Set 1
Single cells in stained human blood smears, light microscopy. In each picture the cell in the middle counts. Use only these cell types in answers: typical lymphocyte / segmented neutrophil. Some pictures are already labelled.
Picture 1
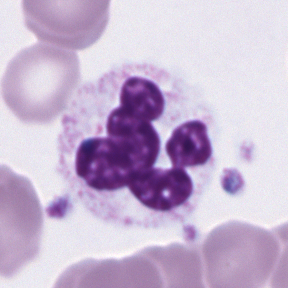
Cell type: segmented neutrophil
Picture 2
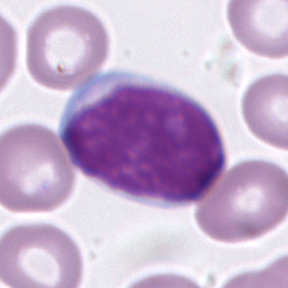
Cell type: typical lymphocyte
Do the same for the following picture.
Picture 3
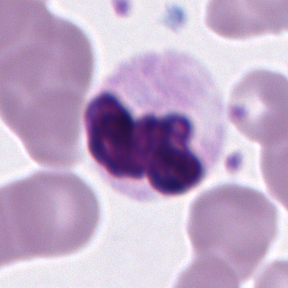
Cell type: segmented neutrophil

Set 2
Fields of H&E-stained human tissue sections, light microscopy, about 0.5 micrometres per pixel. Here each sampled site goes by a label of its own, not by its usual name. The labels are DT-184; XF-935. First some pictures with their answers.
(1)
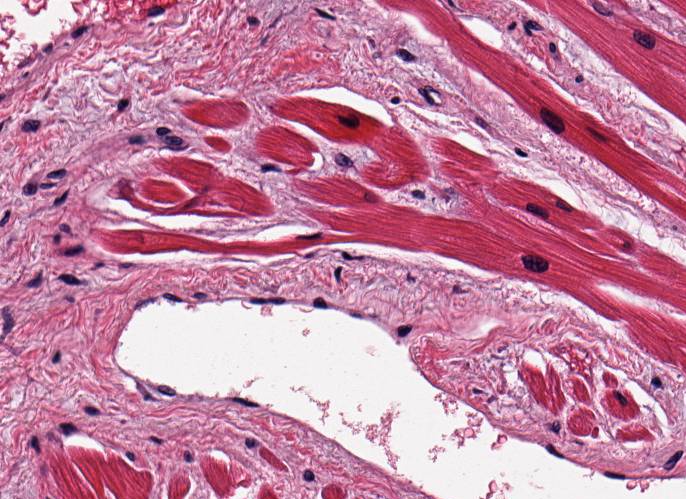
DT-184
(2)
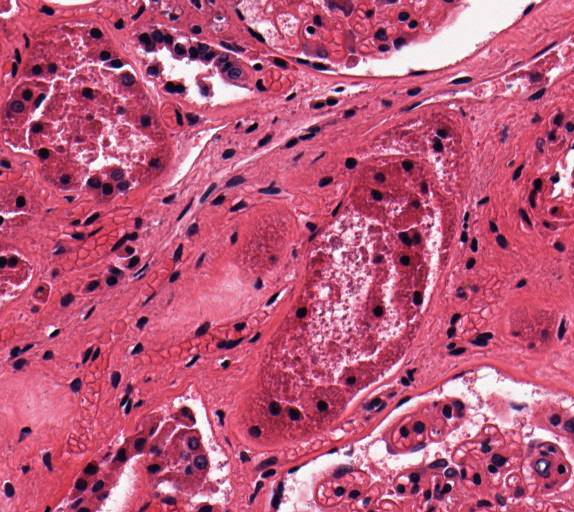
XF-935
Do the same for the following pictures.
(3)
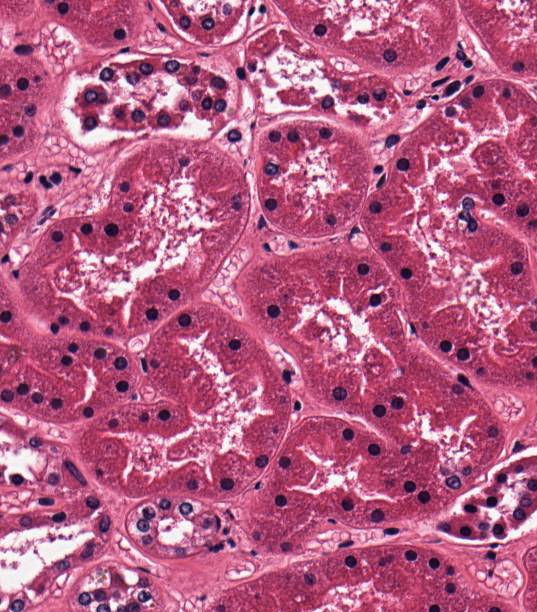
XF-935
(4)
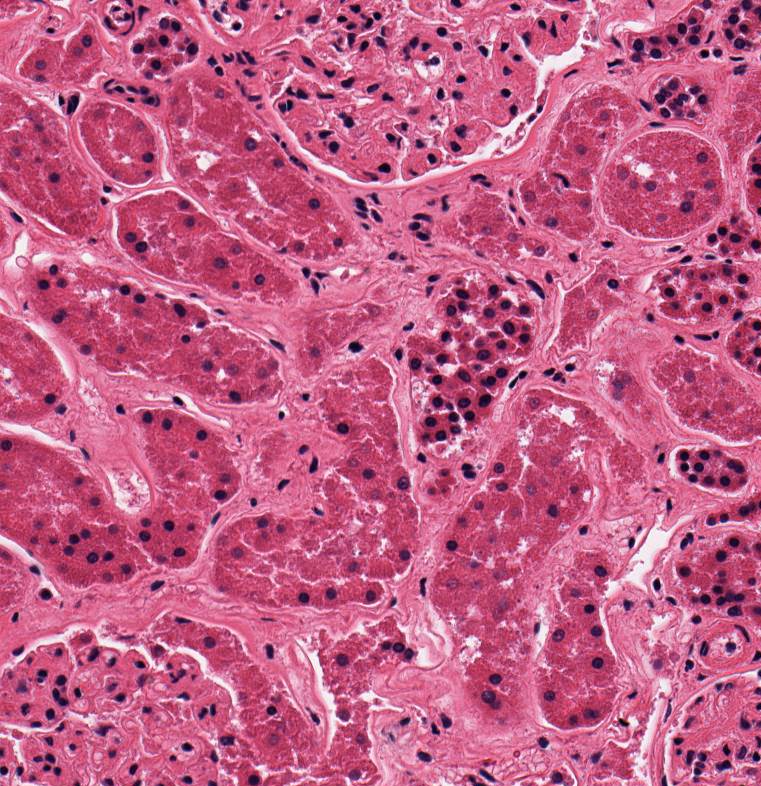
XF-935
